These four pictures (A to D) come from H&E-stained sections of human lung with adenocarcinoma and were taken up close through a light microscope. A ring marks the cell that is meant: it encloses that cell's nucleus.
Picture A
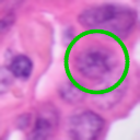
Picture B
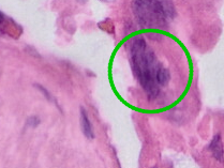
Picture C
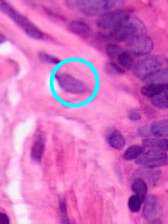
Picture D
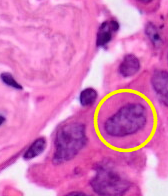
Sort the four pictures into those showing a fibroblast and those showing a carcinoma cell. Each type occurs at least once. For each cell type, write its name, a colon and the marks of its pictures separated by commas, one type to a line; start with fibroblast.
fibroblast: C
carcinoma cell: A, B, D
